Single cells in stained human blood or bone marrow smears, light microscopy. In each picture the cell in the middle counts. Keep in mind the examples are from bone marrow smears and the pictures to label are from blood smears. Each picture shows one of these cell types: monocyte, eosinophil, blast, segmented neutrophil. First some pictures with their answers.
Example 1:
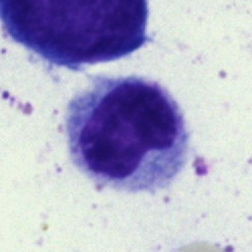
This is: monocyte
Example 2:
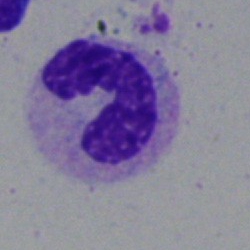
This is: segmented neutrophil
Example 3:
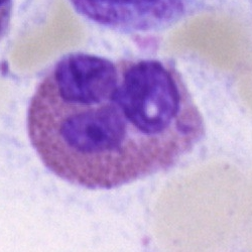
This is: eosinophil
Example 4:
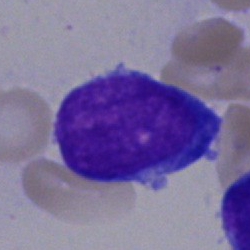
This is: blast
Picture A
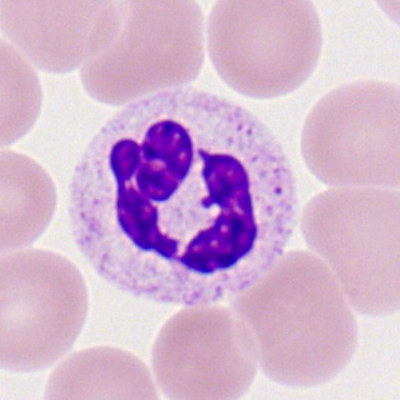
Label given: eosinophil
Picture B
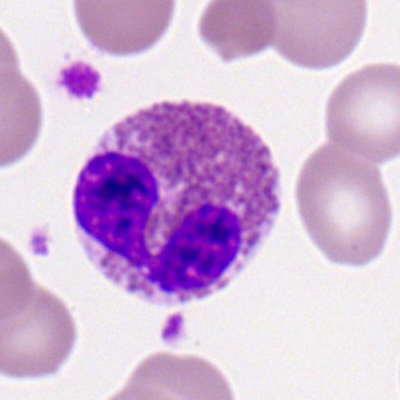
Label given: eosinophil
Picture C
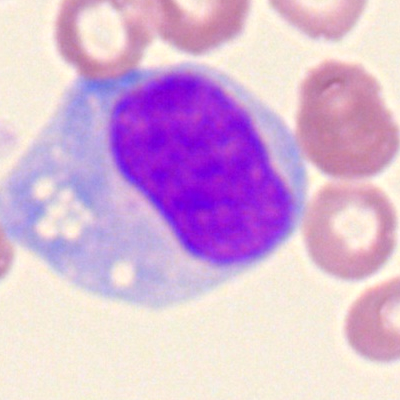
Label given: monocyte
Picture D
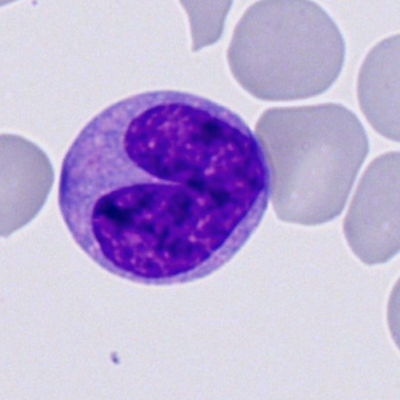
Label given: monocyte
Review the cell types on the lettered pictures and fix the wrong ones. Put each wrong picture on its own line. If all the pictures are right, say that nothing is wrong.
A: change eosinophil to segmented neutrophil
